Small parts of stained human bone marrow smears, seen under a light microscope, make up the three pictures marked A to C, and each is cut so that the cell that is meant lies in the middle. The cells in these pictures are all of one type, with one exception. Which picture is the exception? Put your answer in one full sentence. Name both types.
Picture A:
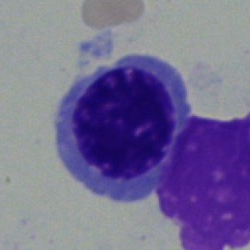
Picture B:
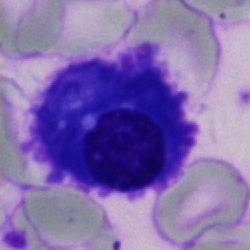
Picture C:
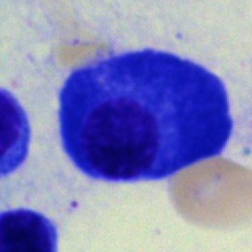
The different one is picture A; it shows an erythroblast, whereas all the others show plasma cells.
